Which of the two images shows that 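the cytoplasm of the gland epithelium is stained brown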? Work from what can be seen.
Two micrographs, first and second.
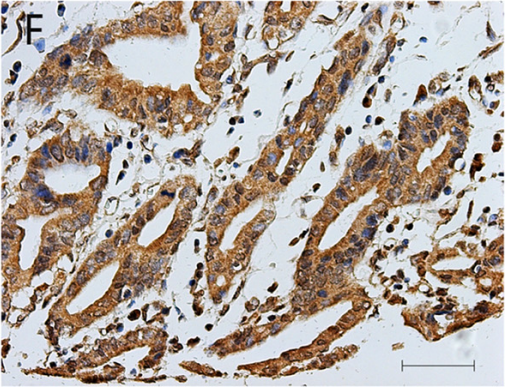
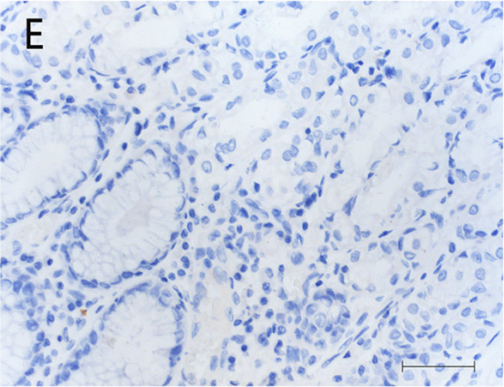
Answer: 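First image: gland-forming epithelial cells show brown cytoplasm throughout. Second image: gland cells and stroma show only blue nuclei with no brown stain.
Conclusion: the first image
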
